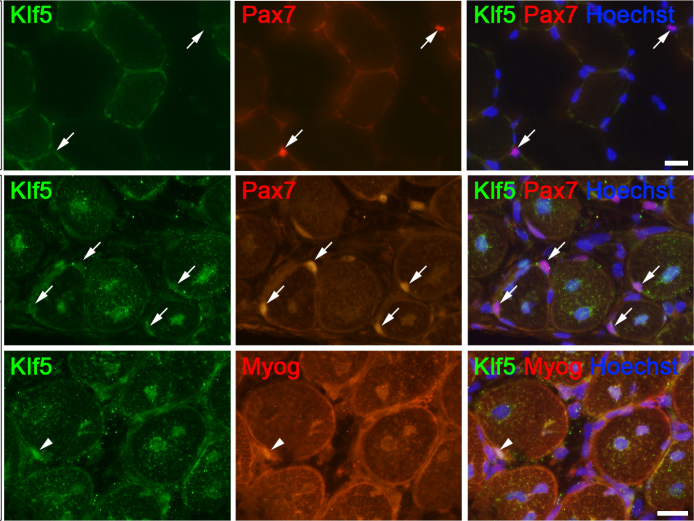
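These are cross-sections of skeletal muscle, intact and regenerating, with satellite cells and regenerating myofibres. In the intact muscle the fibres form polygonal profiles outlined faintly, with blue nuclei at their edges, and the arrows mark small nuclei pressed against the fibre borders that are bright red. In the regenerating muscle the fibres are rounded and of varied size, many with a nucleus lying in their centre, and the fibre cytoplasm carries a speckled green signal with green around the central nuclei. Small red-yellow cells, marked by arrows, lie wedged at the margins between these fibres. An arrowhead marks a small cell between fibres that is both green and red.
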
